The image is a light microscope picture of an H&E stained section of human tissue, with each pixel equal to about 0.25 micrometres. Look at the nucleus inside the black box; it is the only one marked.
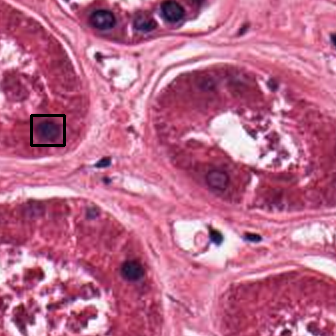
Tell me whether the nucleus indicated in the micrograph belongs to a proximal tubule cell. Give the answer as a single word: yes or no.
yes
